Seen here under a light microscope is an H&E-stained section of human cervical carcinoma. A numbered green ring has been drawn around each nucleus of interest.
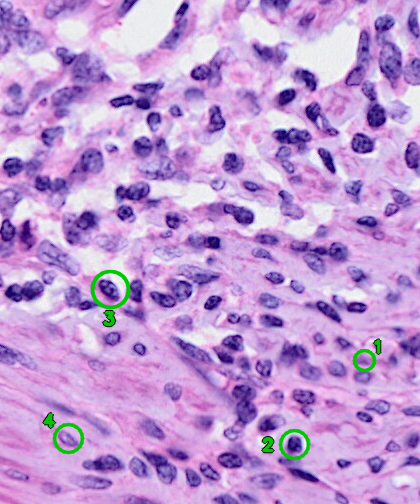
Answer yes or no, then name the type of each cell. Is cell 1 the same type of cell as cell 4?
Yes: cells 1 and 4 are both smooth muscle cells.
